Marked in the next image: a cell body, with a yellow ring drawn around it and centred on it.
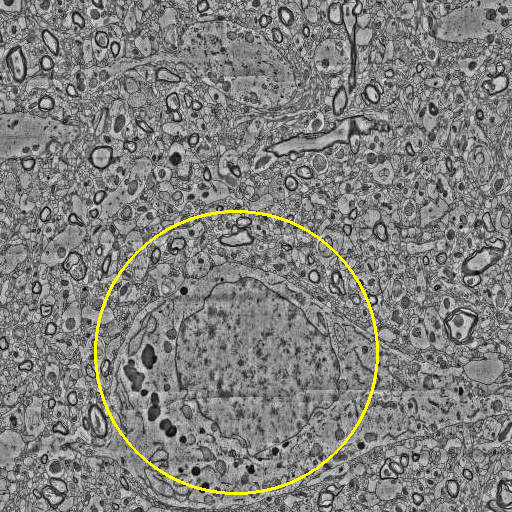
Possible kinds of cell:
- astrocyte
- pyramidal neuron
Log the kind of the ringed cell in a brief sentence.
The ringed cell body is that of a pyramidal neuron.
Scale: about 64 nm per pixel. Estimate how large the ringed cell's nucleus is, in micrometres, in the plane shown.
The nucleus is about 11 micrometres across in this plane.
